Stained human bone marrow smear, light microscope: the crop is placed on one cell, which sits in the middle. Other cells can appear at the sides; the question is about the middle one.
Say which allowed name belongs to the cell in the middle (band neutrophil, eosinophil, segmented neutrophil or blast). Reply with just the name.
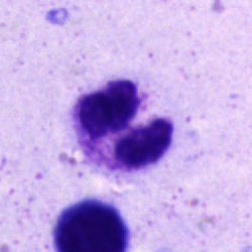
segmented neutrophil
